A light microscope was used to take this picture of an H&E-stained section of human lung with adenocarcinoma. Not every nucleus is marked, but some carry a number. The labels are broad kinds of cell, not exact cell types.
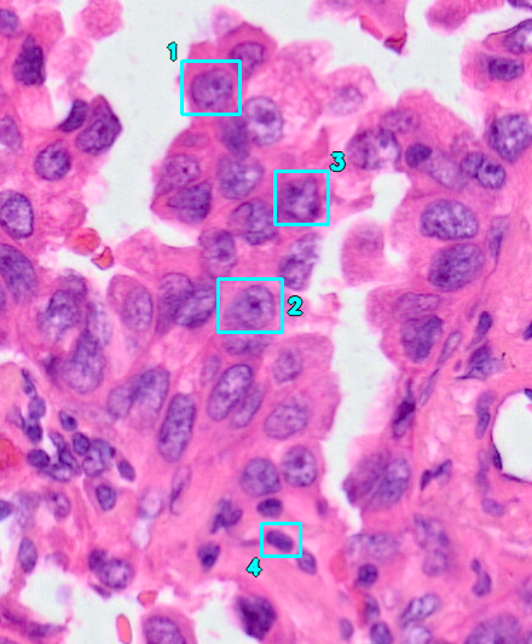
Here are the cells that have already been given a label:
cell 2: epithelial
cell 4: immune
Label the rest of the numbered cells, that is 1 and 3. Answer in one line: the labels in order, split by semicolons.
epithelial; epithelial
